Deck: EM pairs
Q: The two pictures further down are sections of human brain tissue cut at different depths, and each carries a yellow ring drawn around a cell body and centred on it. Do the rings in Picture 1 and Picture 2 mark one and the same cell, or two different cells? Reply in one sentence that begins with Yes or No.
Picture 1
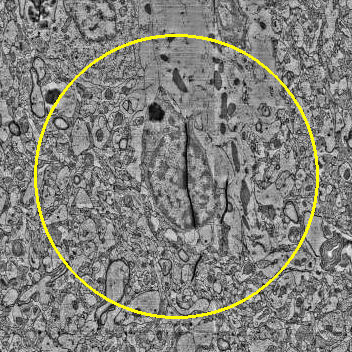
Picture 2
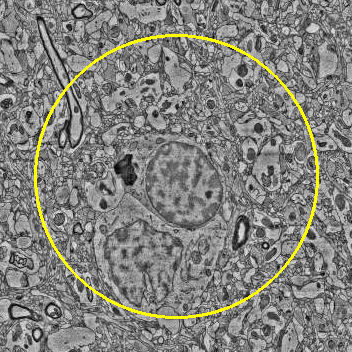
No, the pair of rings marks a pair of different cells.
